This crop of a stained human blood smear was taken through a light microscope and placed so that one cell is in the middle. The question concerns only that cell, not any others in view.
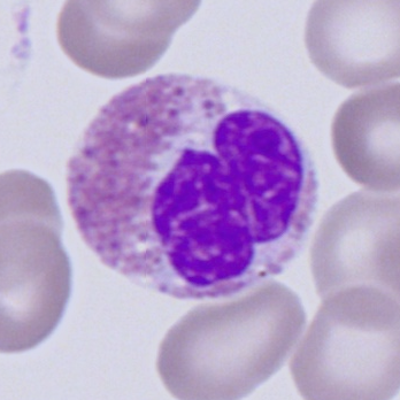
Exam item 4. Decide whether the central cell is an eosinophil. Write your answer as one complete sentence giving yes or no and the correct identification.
Yes, as regards the cell in the middle, it is an eosinophil.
